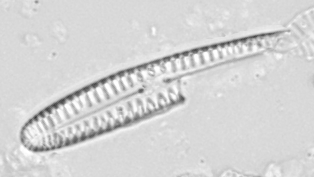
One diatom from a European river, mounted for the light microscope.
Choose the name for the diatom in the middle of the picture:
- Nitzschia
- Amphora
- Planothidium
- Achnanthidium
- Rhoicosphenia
Rhoicosphenia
